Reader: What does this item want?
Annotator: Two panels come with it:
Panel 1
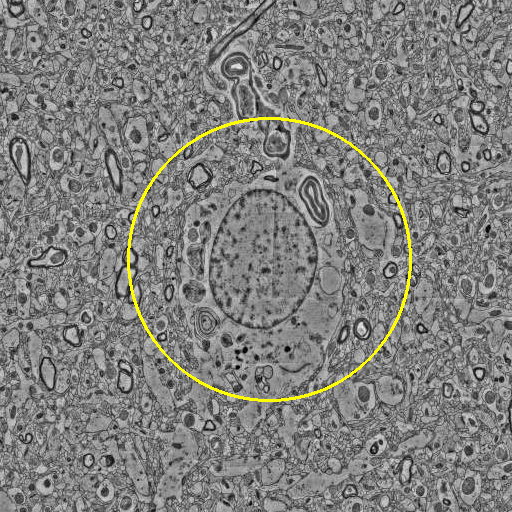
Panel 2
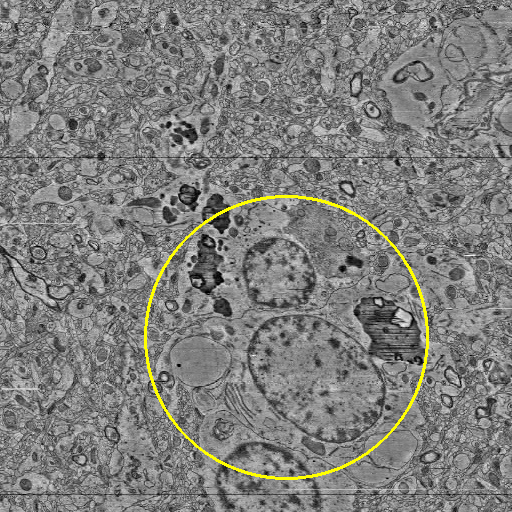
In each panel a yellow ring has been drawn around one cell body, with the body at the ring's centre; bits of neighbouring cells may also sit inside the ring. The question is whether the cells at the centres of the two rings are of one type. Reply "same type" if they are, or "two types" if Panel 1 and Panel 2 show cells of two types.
same type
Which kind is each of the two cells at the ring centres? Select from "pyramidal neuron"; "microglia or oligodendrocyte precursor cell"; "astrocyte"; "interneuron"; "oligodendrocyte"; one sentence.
In both pictures the ring is centred on an astrocyte.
